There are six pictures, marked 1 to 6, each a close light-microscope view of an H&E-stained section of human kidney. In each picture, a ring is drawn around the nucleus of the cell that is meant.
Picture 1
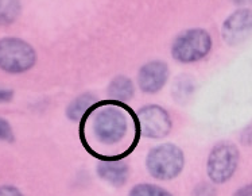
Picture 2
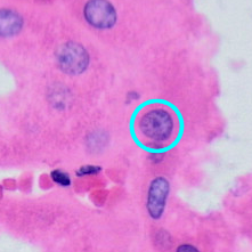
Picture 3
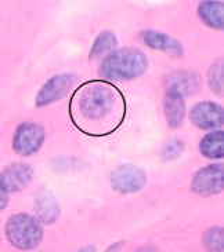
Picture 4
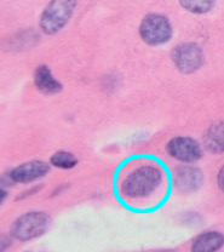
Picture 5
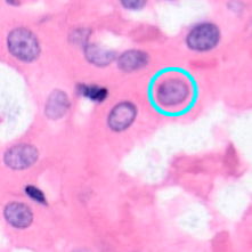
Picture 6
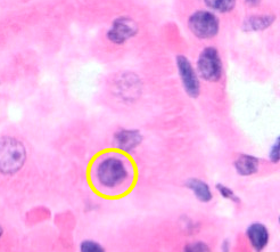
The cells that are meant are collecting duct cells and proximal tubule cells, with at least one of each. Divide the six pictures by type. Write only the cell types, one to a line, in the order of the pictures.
collecting duct cell
proximal tubule cell
collecting duct cell
collecting duct cell
proximal tubule cell
proximal tubule cell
